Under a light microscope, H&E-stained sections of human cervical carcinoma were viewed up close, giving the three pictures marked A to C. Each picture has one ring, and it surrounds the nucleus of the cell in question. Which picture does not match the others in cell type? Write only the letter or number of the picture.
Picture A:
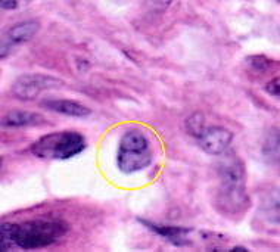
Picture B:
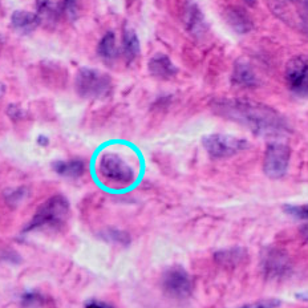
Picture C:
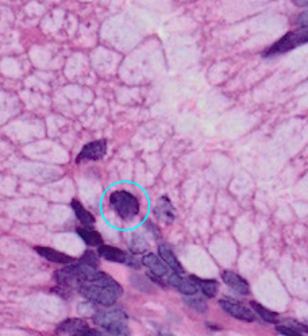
C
